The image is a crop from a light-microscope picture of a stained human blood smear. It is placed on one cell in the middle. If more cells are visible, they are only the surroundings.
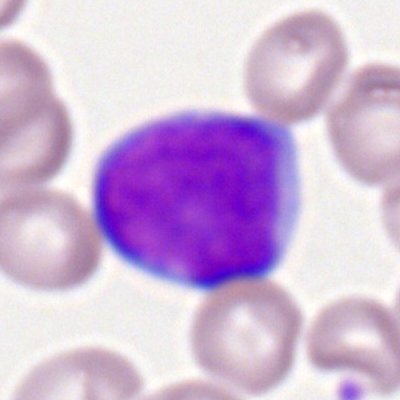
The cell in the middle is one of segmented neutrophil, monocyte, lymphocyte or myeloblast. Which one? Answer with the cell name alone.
myeloblast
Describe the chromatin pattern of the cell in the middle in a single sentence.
Heads up, the chromatin is fine with no coarse clumps in it.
